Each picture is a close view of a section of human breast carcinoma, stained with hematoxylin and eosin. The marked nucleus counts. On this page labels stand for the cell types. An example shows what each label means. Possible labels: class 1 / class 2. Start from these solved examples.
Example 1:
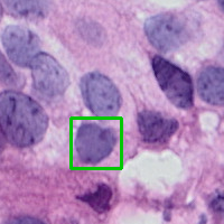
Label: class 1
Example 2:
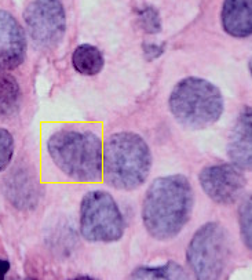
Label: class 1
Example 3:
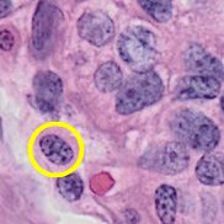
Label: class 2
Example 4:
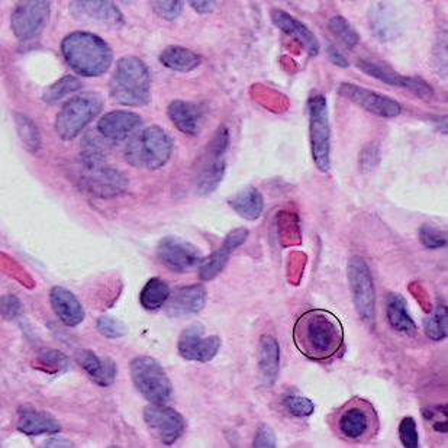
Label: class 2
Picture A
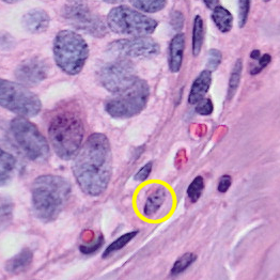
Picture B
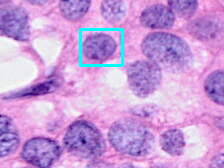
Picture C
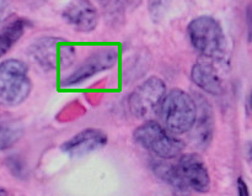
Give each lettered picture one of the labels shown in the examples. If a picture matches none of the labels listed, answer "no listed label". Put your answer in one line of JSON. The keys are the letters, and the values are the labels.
{"A": "class 2", "B": "class 1", "C": "no listed label"}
